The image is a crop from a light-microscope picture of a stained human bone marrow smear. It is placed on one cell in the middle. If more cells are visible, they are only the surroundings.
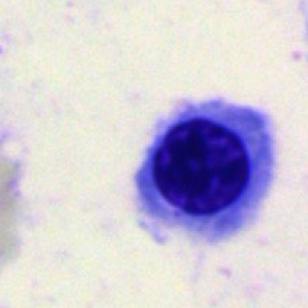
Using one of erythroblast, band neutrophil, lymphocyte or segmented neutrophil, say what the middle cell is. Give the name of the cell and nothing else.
erythroblast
